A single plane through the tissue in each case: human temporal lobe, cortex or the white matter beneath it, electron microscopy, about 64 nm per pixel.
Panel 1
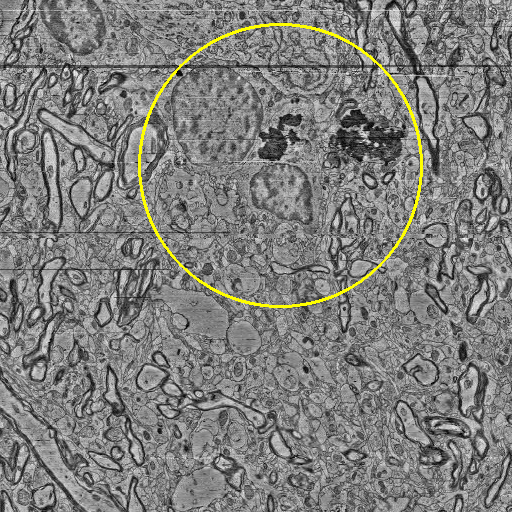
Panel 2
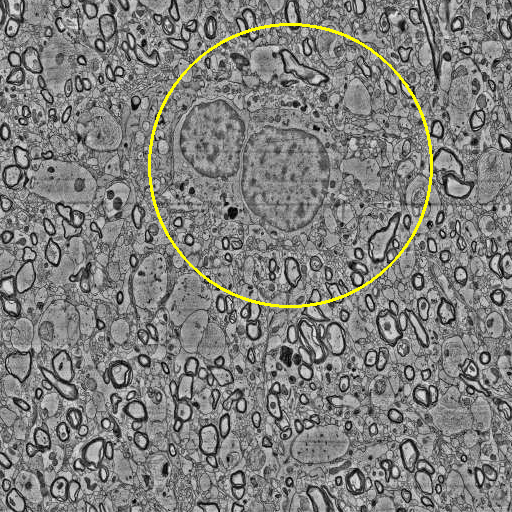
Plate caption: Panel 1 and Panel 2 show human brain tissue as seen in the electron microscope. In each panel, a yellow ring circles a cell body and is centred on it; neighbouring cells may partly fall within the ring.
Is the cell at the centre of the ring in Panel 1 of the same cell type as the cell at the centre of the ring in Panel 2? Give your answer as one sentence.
Yes, the two cells are of the same type.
